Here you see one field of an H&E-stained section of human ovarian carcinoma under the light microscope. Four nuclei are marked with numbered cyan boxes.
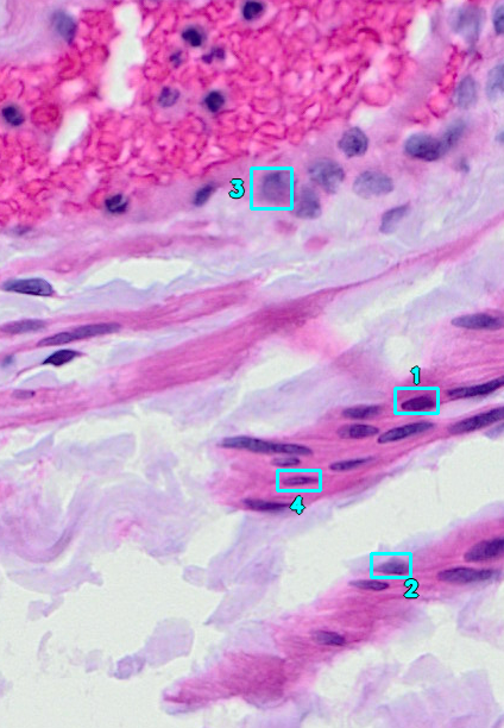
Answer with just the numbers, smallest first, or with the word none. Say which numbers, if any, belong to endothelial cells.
3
